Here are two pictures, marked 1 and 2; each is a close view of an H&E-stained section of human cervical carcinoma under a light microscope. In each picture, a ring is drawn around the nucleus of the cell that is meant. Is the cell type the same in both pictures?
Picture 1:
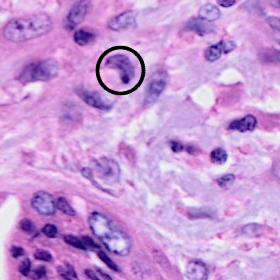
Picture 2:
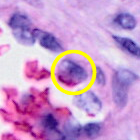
no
